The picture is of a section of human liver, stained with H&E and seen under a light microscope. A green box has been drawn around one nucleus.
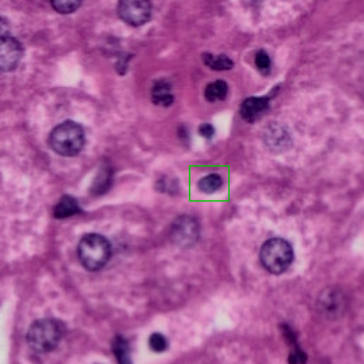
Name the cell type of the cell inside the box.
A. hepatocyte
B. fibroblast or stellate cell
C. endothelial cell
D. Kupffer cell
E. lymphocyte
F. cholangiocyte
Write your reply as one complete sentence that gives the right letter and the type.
Option E is correct in stating that the cell inside the box is a lymphocyte.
